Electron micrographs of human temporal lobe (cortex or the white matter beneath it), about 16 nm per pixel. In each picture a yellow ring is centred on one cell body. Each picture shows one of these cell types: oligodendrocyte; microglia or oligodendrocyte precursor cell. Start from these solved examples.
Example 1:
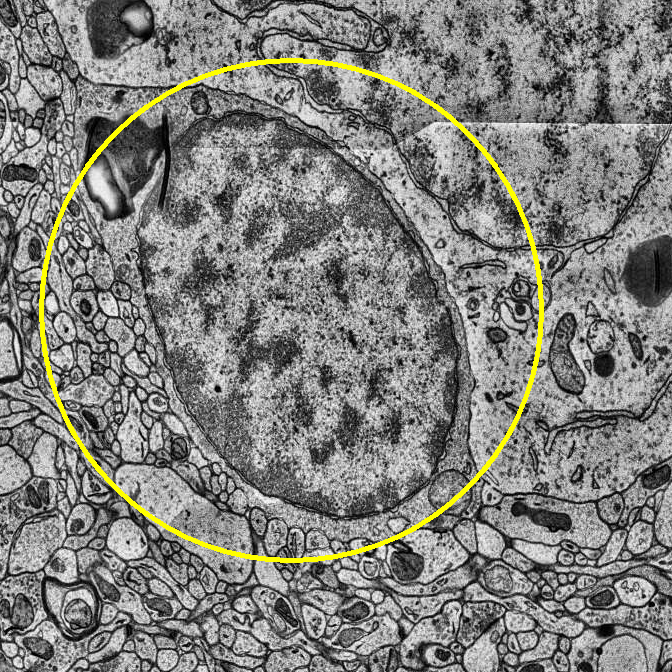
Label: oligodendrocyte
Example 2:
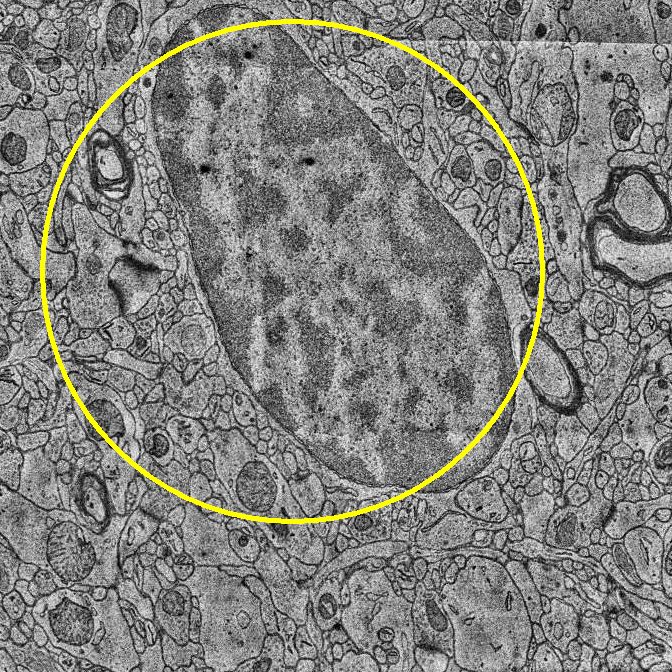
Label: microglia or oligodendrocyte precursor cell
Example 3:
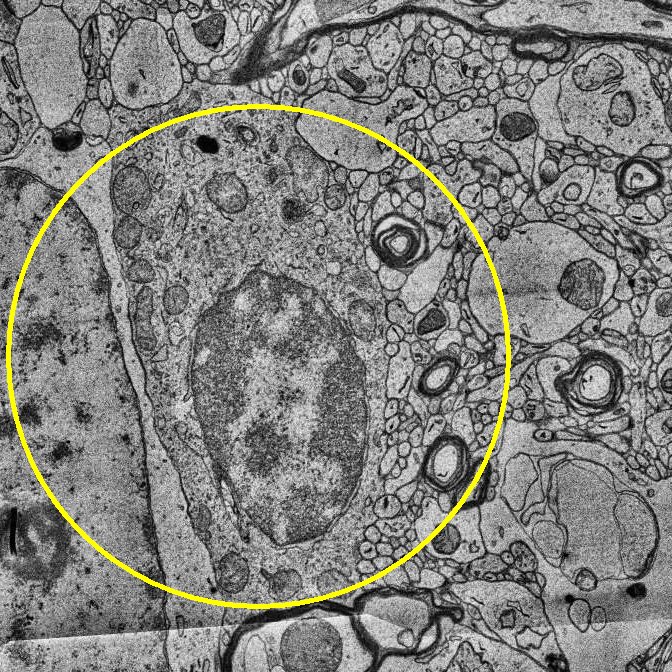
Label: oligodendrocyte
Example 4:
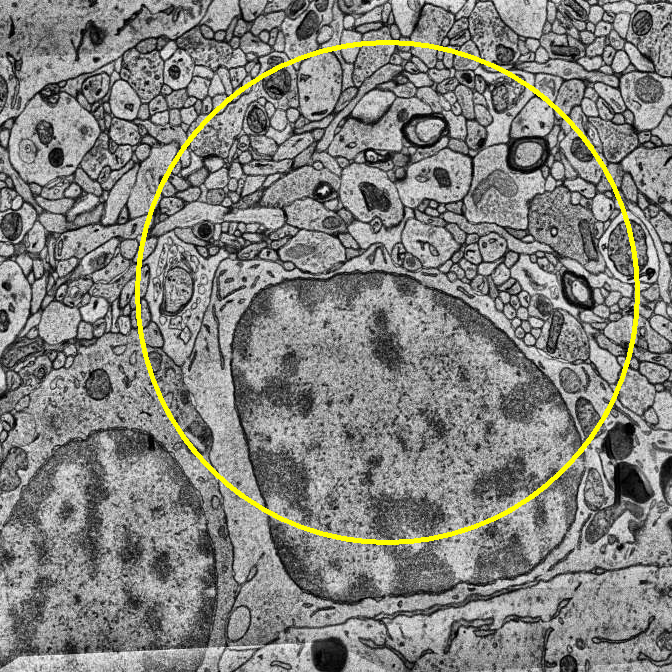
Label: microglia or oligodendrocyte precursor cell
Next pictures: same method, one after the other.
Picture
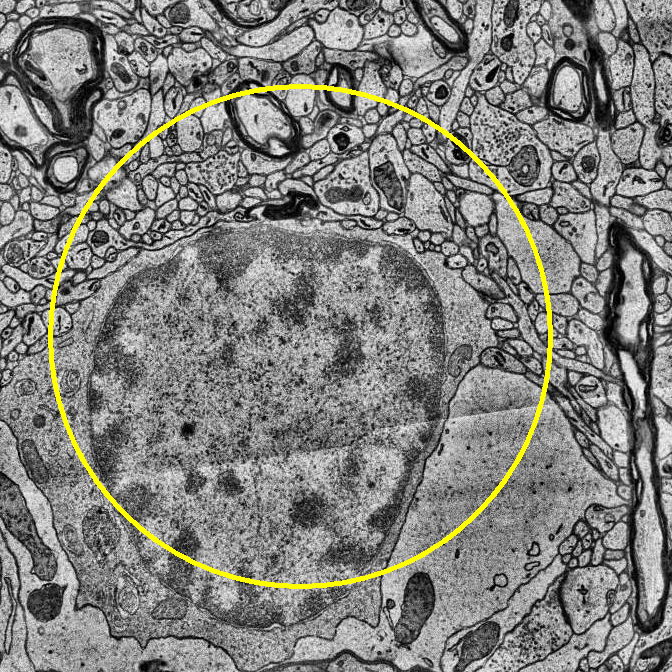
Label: oligodendrocyte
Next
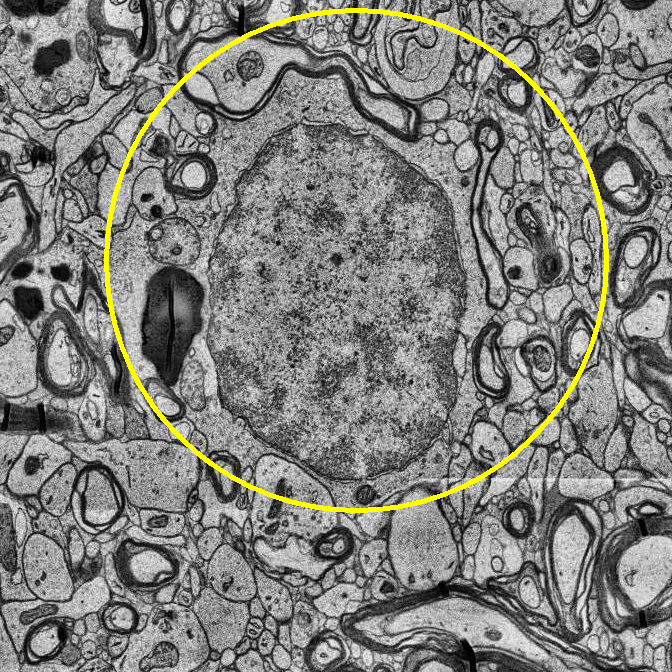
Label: oligodendrocyte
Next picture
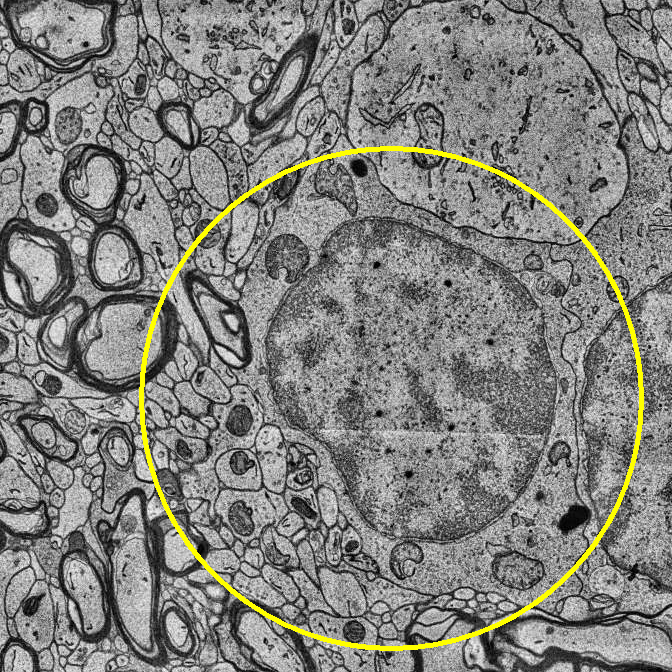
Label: oligodendrocyte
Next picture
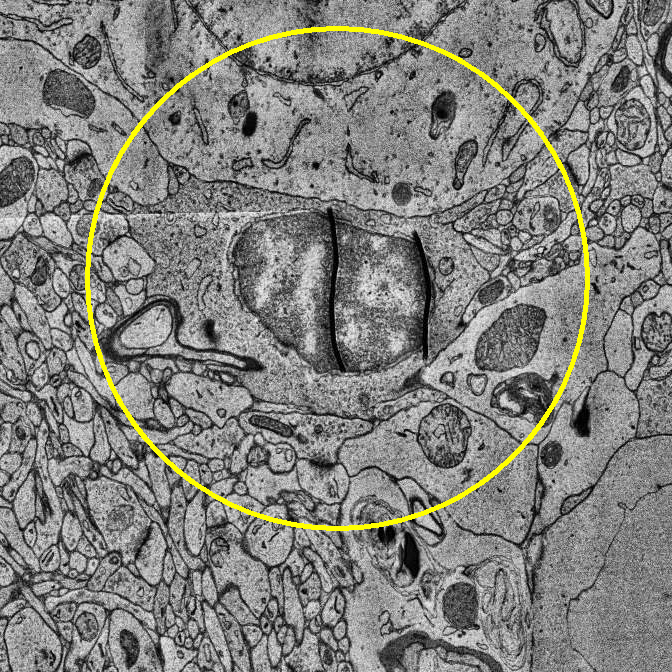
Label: oligodendrocyte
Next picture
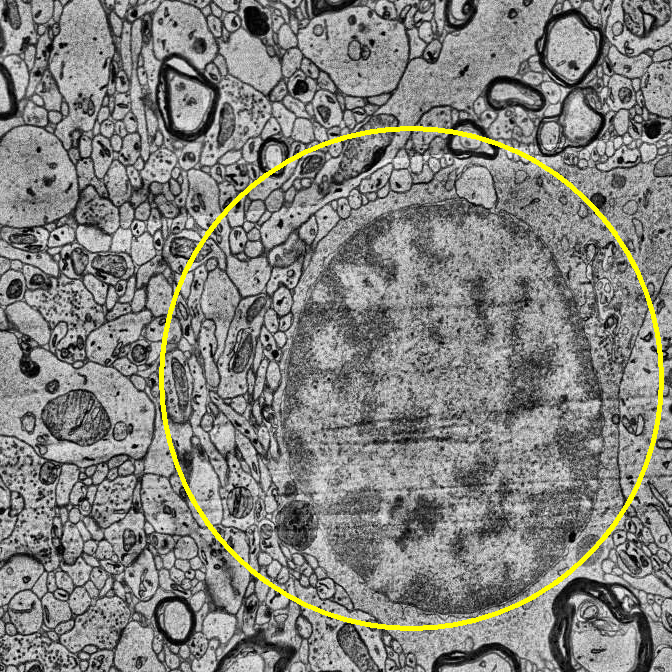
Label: oligodendrocyte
